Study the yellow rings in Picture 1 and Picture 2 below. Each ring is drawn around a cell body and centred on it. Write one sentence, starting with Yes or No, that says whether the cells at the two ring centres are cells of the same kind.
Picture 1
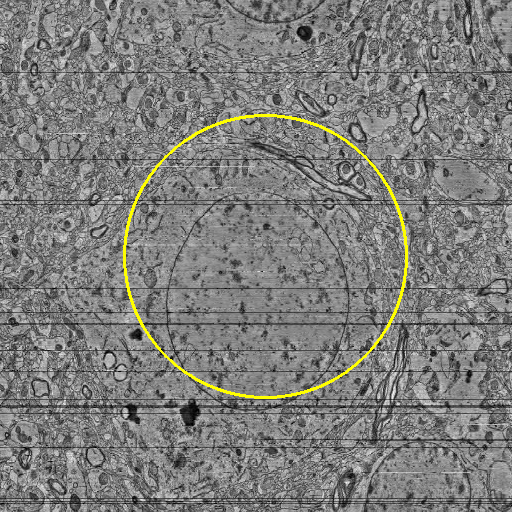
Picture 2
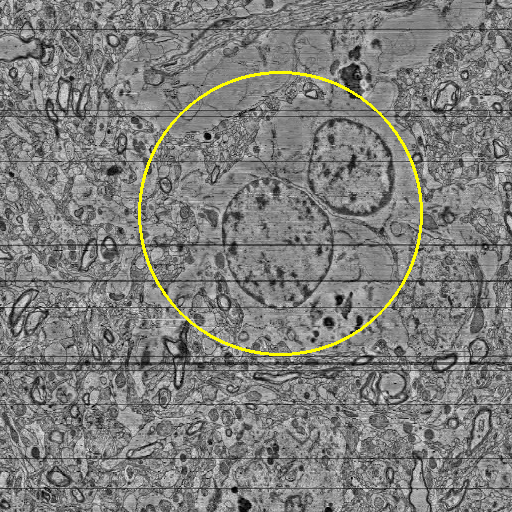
No, the cells at the ring centres are of two kinds.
